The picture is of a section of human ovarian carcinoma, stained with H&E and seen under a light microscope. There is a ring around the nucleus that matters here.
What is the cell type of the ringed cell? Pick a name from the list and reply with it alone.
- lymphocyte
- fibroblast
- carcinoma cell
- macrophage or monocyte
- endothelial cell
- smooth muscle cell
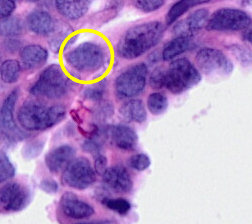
carcinoma cell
